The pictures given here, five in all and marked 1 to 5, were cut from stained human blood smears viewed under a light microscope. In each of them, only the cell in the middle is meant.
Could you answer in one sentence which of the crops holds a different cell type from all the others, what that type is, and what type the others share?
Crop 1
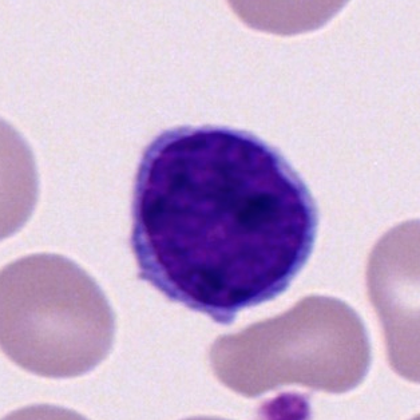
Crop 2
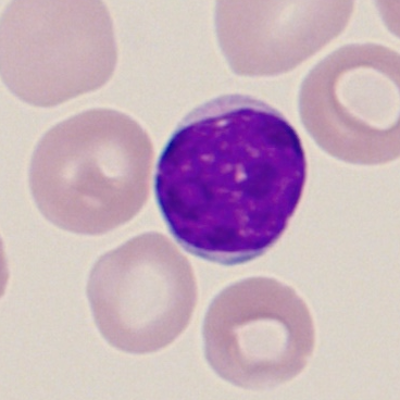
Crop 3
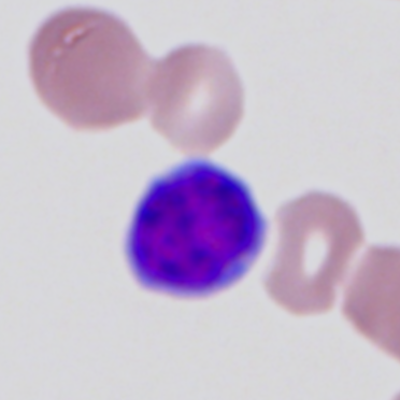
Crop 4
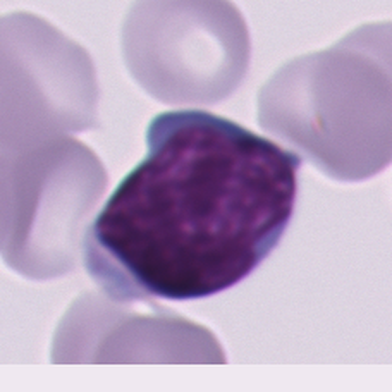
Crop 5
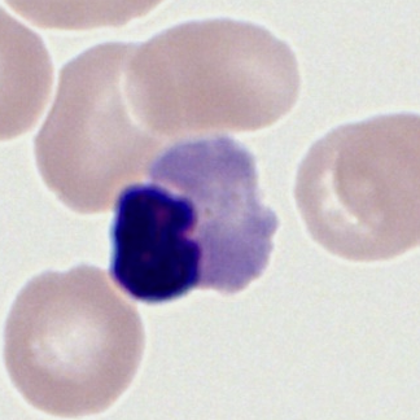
Whereas the other crops show lymphocytes, crop 5 is an erythroblast.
